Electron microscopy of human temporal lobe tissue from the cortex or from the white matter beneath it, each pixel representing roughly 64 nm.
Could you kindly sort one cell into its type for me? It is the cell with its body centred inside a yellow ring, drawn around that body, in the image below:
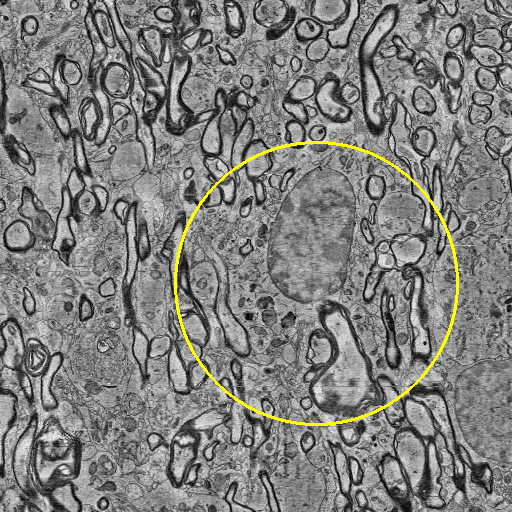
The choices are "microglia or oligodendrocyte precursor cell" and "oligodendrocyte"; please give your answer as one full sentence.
The cell whose body lies centred in the yellow ring here is a microglial cell or oligodendrocyte precursor cell.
